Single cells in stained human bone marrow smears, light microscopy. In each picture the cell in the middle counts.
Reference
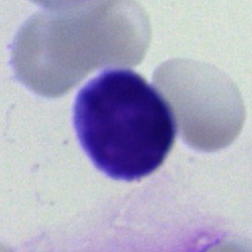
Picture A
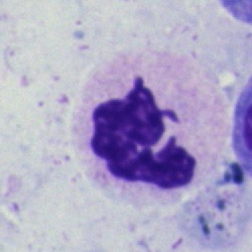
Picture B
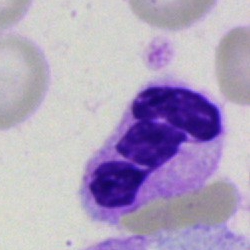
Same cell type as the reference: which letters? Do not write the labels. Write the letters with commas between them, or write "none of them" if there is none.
none of them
